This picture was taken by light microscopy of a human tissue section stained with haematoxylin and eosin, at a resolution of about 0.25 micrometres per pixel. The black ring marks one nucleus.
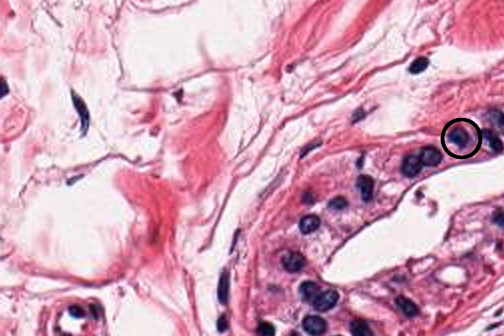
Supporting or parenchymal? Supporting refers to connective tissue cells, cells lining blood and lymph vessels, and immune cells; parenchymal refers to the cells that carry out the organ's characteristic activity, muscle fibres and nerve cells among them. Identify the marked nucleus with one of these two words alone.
parenchymal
